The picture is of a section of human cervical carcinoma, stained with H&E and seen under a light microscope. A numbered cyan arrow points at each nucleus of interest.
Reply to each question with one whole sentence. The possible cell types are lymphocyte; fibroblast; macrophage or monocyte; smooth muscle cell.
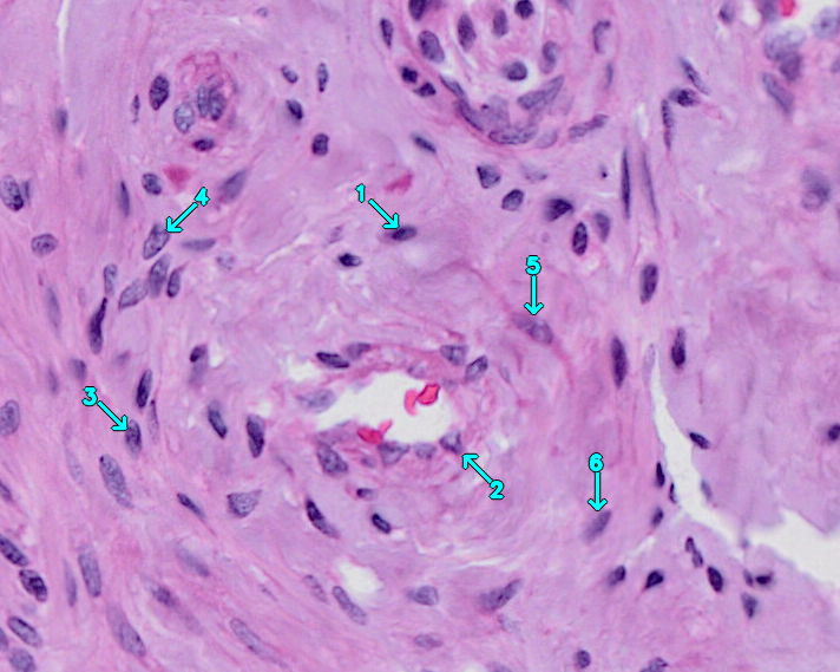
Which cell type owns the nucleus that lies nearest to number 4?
Number 4 lies closest to the nucleus of a fibroblast.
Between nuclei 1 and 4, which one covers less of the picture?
Number 1 is smaller, since number 4 takes up about 2 times as much area.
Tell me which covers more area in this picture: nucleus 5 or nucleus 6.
Nucleus 5 covers more area, about 1.5 times as much as nucleus 6.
